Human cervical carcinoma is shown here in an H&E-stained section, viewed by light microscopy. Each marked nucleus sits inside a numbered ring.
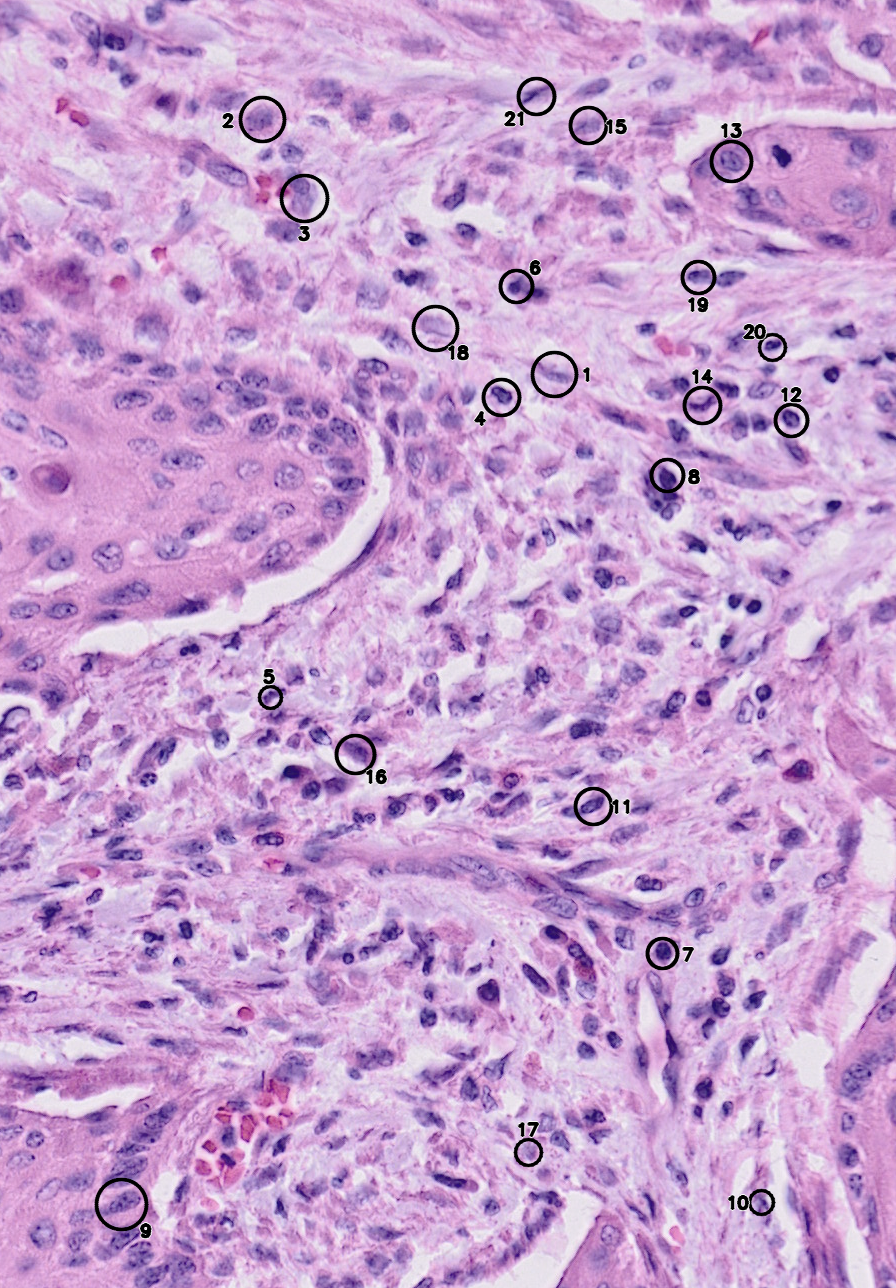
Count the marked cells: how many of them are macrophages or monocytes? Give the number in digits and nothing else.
3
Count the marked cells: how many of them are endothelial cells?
1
